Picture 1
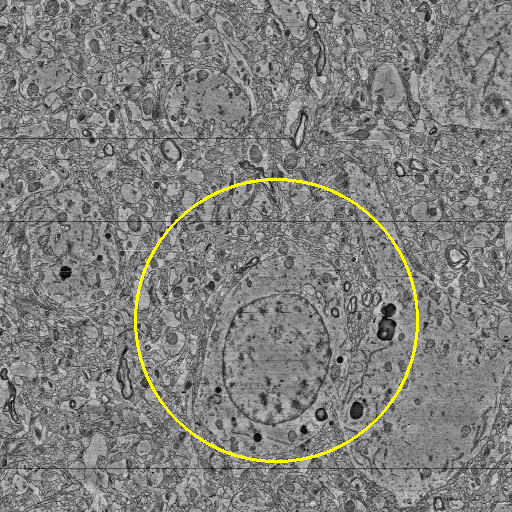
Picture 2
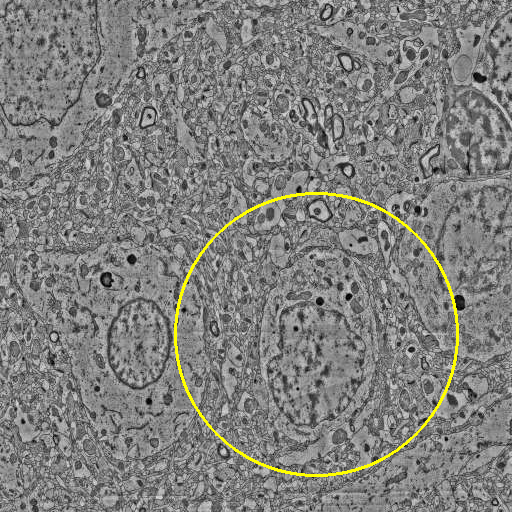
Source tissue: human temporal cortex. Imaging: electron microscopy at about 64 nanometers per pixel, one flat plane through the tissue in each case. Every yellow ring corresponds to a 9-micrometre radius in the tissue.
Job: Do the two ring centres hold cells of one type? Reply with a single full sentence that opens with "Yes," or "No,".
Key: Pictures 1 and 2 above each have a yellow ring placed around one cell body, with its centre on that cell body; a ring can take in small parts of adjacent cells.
No, the cells at the two ring centres are of two separate types.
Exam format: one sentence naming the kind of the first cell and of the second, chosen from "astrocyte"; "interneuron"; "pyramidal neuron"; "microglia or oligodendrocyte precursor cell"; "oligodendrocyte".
The first picture's cell is a pyramidal neuron, and the second picture's cell is an interneuron.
